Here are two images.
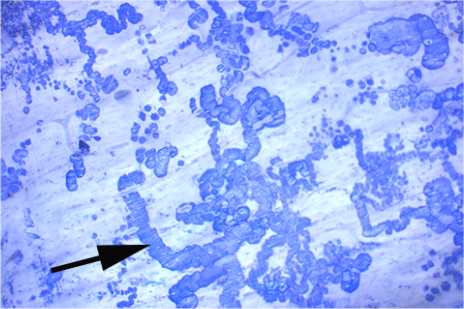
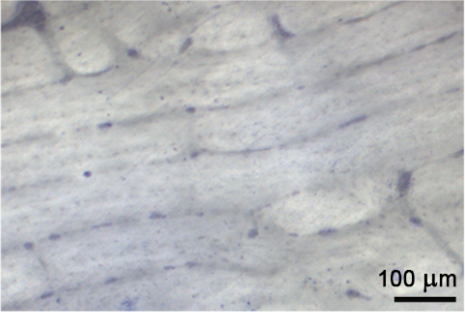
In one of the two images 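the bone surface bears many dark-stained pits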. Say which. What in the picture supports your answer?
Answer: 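Second image: a pale, smooth bone surface with only faint lamellar lines and thin dark canal-like streaks, no pits. First image: many dark blue rounded pits, joined into winding trails across the surface. On this evidence: the first image.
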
